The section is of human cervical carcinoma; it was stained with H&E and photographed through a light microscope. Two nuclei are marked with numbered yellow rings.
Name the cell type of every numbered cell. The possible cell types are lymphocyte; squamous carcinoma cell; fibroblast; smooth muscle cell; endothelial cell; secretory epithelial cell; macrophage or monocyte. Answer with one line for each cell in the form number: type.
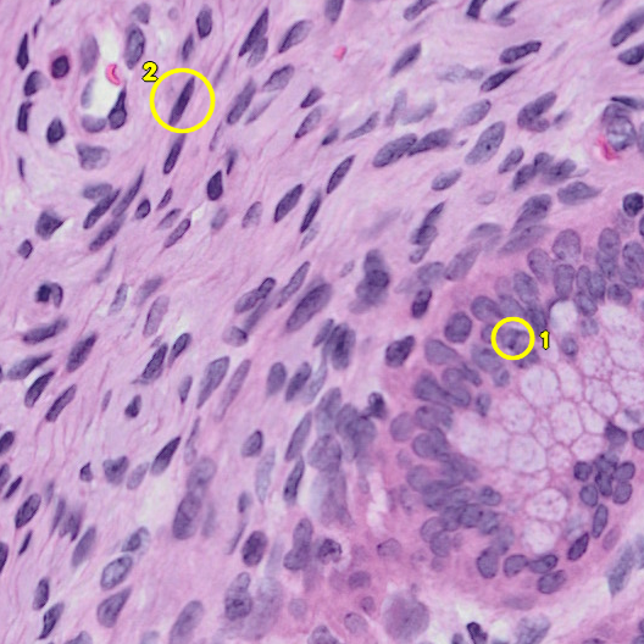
1: secretory epithelial cell
2: fibroblast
